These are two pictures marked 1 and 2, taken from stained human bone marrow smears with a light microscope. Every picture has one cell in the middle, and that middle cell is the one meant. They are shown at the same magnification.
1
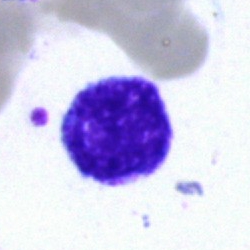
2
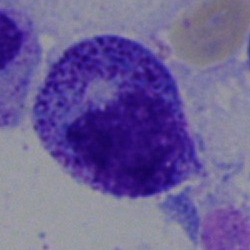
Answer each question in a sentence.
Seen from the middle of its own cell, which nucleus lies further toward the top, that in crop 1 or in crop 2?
It is the nucleus in crop 1 that lies further toward the top of its cell.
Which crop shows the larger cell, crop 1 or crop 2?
It is the cell in crop 2, about 2 times as large in area as the cell in crop 1.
